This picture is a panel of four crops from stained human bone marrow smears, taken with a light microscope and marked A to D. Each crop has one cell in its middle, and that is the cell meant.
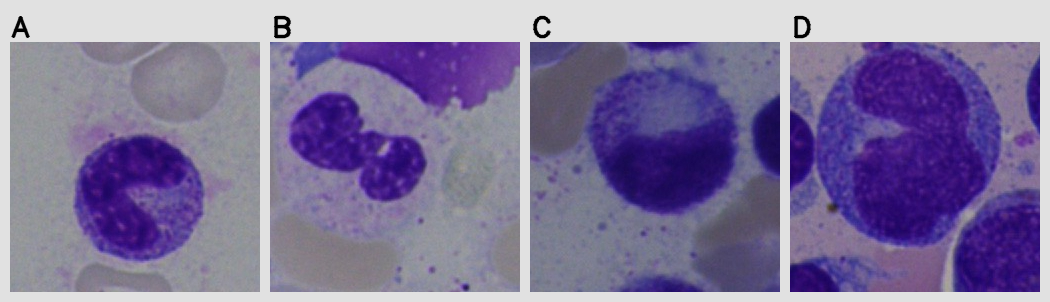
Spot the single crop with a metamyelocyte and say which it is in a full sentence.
The cell at the center of crop C is the one that is a metamyelocyte.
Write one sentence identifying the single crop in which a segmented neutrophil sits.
The one crop in the set with a segmented neutrophil is crop B.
